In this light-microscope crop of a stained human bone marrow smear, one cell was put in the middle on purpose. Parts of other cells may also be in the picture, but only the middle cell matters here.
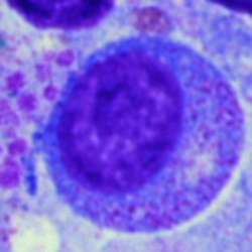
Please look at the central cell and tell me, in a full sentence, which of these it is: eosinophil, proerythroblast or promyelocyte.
The central element of this crop is a cell, namely a promyelocyte.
